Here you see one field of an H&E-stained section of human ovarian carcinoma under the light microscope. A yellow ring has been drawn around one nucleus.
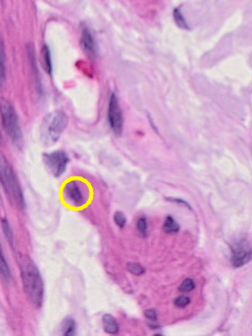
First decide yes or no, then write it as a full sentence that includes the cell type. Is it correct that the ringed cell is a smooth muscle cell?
Yes, the ringed cell is categorized as a smooth muscle cell in this section.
